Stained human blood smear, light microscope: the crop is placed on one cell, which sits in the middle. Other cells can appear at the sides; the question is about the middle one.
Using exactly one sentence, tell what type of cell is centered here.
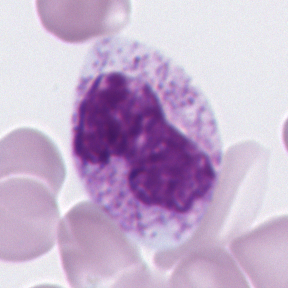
The cell centred in this crop is categorized as a band neutrophil.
